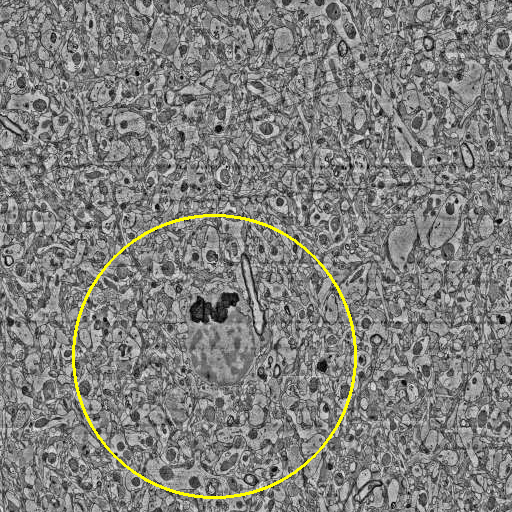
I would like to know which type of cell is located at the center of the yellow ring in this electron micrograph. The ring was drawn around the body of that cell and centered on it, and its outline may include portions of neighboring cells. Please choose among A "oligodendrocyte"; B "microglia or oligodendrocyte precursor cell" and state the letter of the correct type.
A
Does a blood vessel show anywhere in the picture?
No, no vessel appears in the picture.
